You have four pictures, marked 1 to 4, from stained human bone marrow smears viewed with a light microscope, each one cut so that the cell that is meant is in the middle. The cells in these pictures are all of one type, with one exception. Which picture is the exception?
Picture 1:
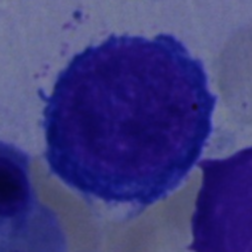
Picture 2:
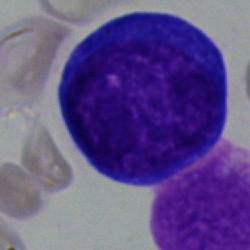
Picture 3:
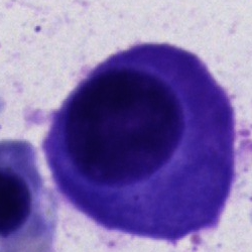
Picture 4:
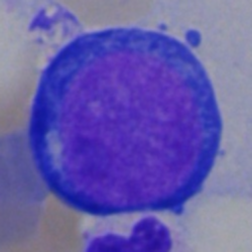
3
